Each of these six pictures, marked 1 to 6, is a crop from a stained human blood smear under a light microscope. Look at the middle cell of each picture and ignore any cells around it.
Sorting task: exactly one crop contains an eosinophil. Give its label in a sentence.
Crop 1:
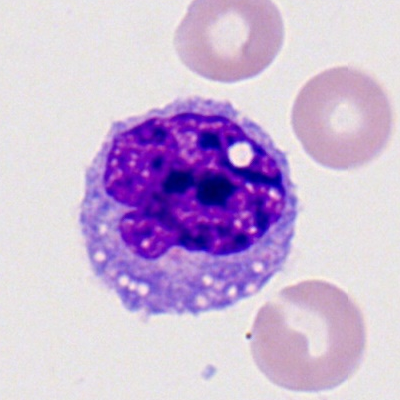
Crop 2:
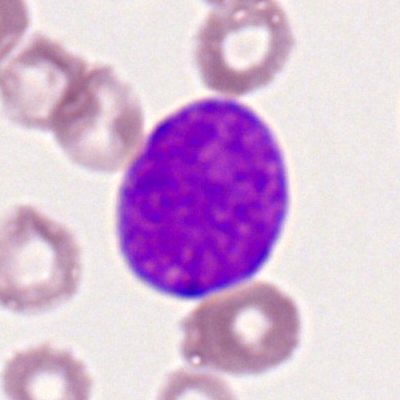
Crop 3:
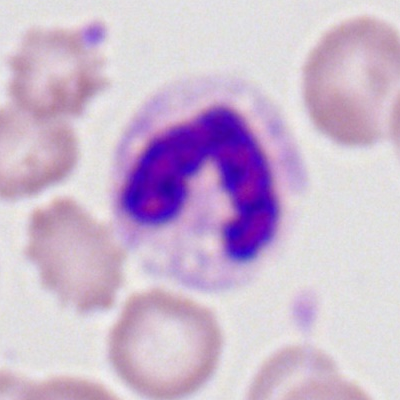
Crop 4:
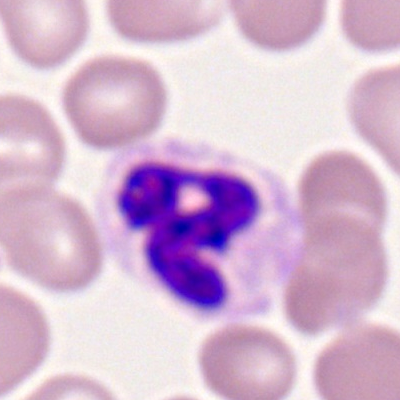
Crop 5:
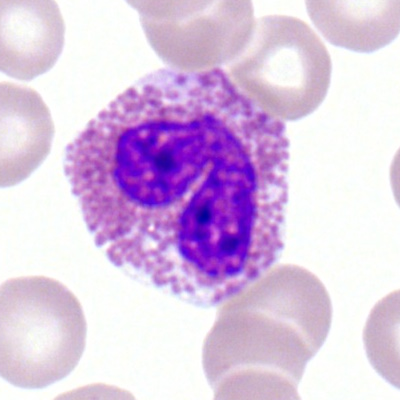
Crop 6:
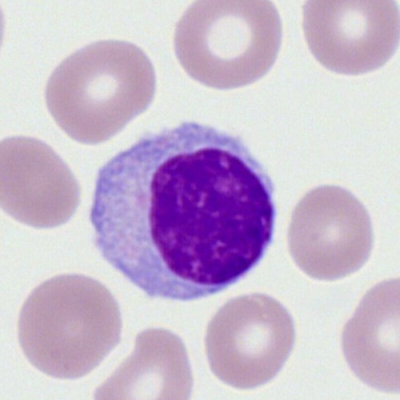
Of the labeled crops, the one with an eosinophil is crop 5.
